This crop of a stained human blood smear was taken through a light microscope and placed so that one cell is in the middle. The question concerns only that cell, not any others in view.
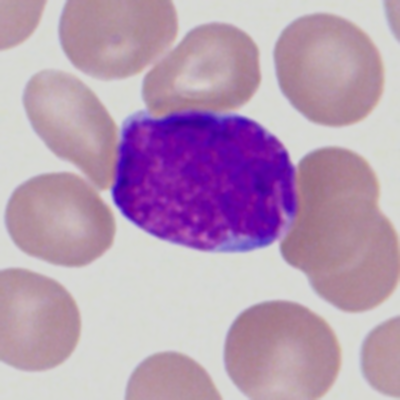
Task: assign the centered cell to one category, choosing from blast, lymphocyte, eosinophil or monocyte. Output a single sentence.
The cell shown in the center of this light-microscope crop is a blast.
